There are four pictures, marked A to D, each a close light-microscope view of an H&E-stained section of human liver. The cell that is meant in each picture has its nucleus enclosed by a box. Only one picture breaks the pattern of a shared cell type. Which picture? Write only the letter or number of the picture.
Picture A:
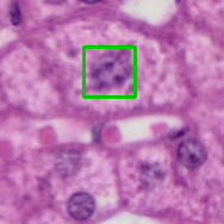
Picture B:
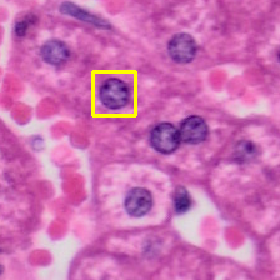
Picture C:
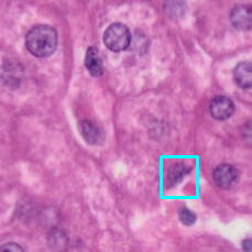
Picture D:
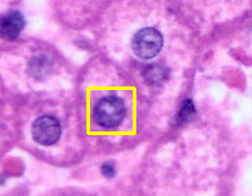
C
